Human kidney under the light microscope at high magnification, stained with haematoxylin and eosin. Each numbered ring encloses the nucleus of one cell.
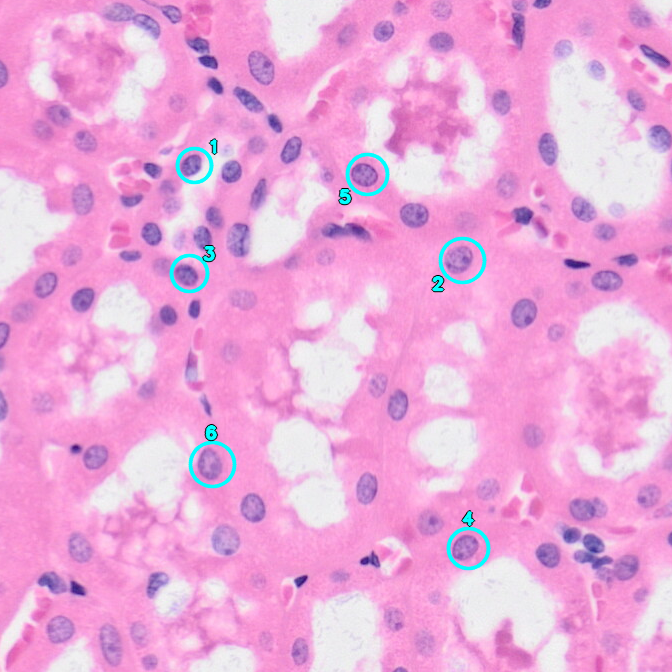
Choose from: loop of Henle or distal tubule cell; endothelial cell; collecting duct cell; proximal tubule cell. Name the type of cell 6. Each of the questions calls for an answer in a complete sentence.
Here, the cell given the number 6 is a proximal tubule cell.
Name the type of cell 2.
In this section, number 2 marks a proximal tubule cell.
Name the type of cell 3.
The cell referenced by the number 3 is a loop of Henle or distal tubule cell in this field.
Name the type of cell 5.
In this section, number 5 marks a proximal tubule cell.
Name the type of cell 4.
To a proximal tubule cell belongs the nucleus marked 4.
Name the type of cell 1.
The identity of cell 1 is that of a loop of Henle or distal tubule cell.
